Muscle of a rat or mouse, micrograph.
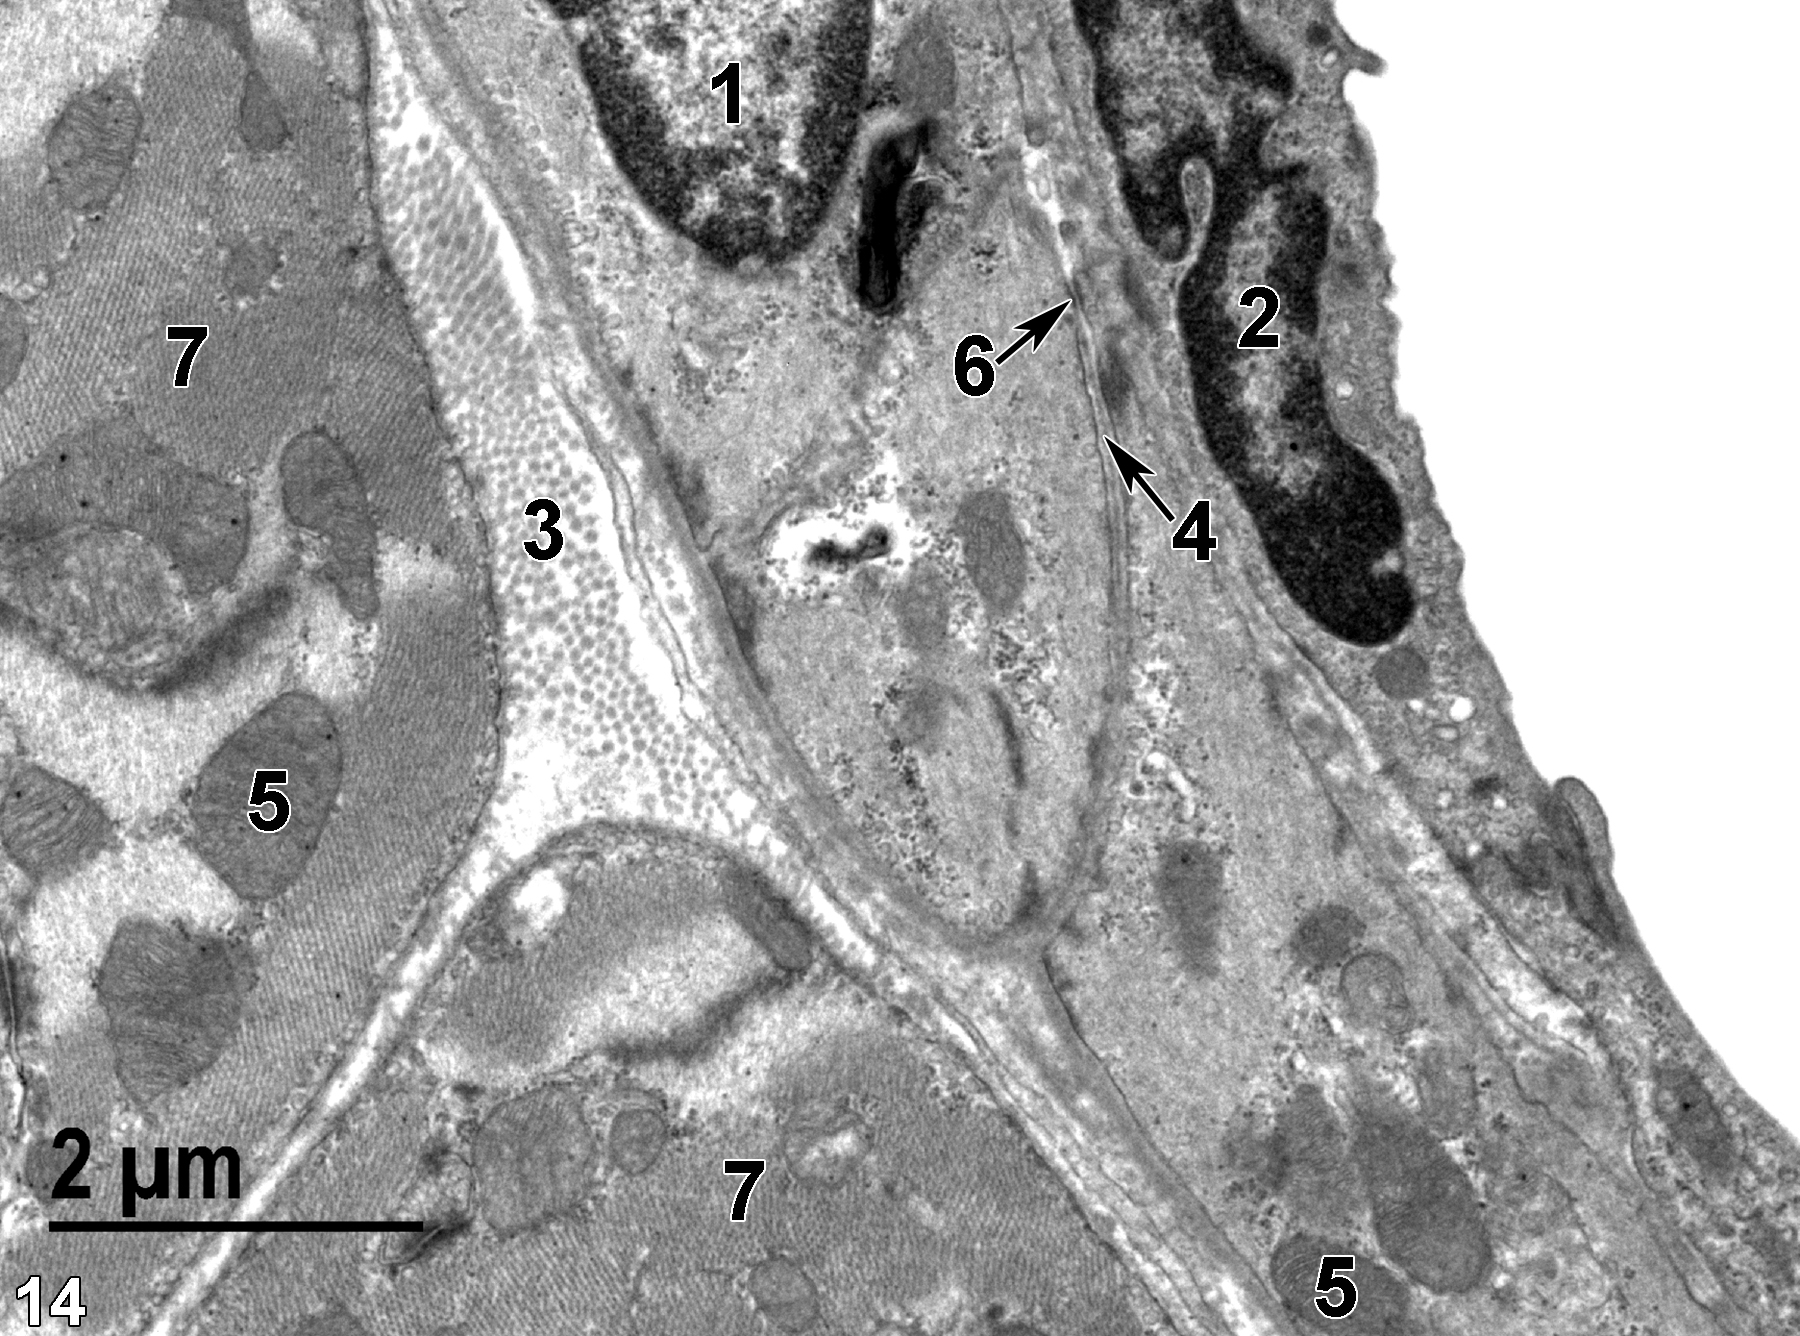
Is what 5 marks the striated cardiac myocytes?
No: the mitochondria.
